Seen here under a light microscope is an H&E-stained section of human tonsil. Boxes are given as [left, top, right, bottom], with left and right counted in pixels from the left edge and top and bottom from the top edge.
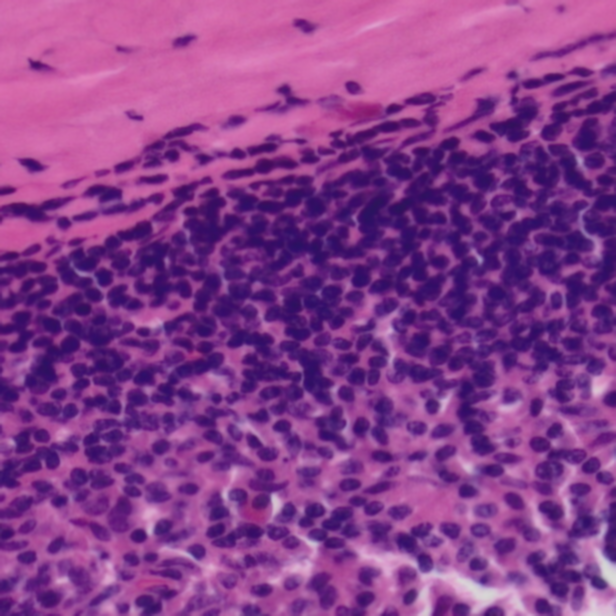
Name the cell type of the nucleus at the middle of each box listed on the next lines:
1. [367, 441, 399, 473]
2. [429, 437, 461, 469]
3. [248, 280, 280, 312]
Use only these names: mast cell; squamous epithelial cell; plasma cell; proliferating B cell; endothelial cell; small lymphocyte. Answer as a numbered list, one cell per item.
1. plasma cell
2. plasma cell
3. small lymphocyte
